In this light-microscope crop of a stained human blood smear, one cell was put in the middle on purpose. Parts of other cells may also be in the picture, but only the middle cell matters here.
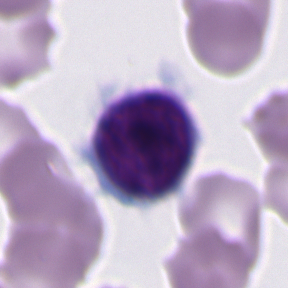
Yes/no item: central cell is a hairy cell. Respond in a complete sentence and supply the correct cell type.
Yes, the cell at the centre of this crop is identified as a hairy cell.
